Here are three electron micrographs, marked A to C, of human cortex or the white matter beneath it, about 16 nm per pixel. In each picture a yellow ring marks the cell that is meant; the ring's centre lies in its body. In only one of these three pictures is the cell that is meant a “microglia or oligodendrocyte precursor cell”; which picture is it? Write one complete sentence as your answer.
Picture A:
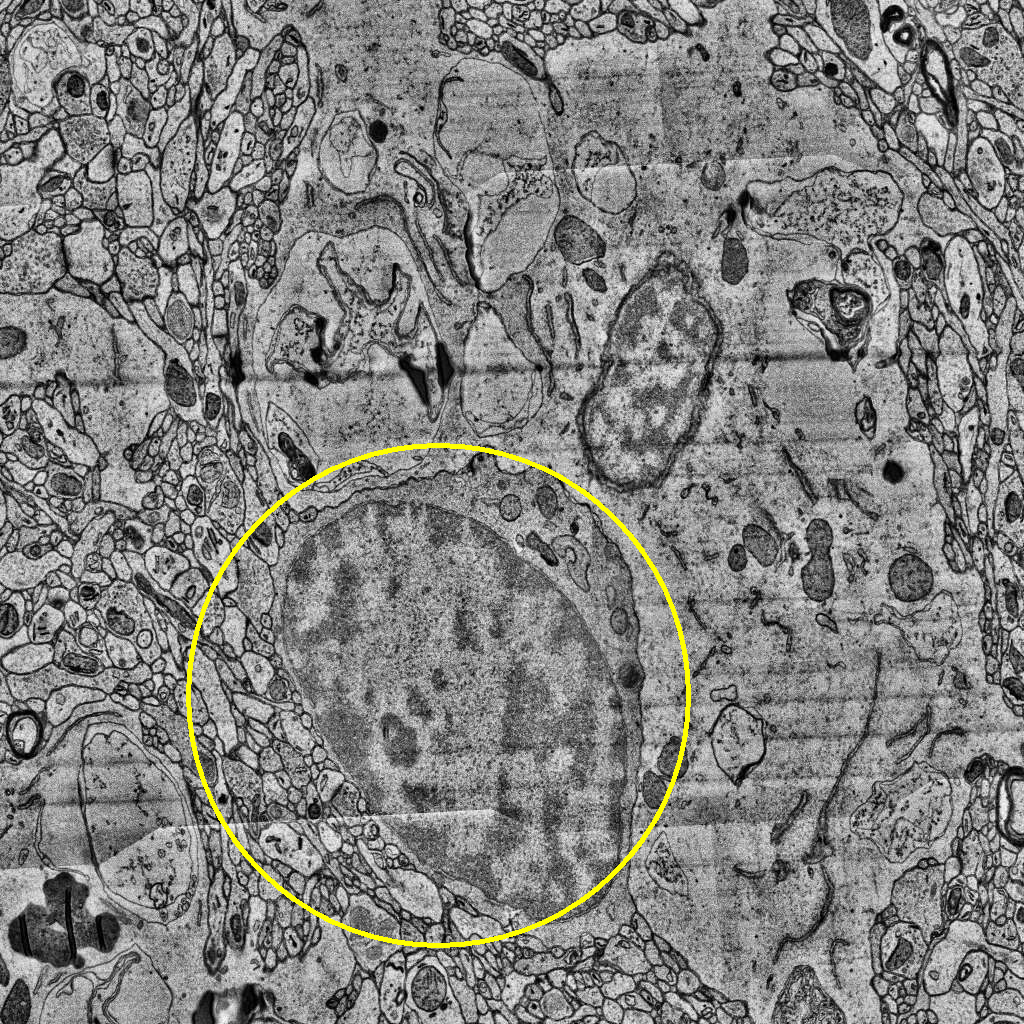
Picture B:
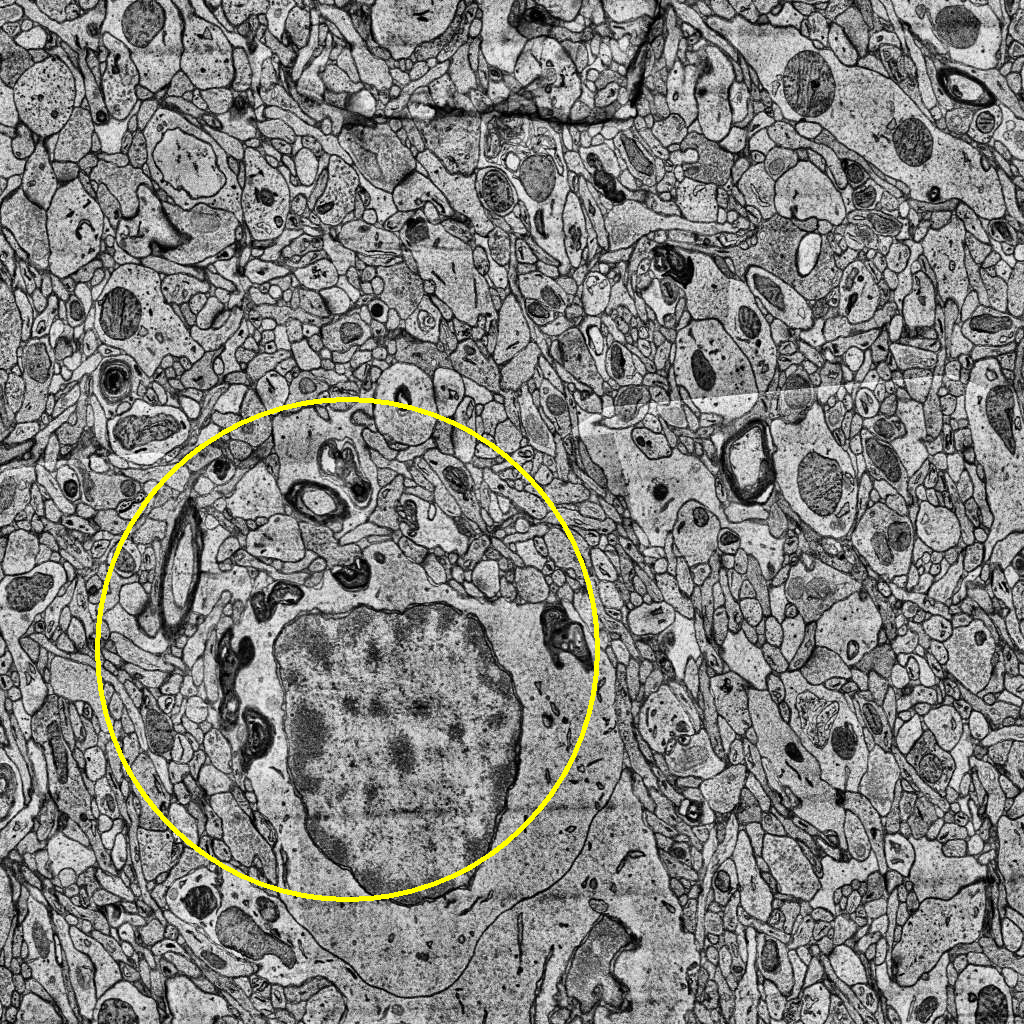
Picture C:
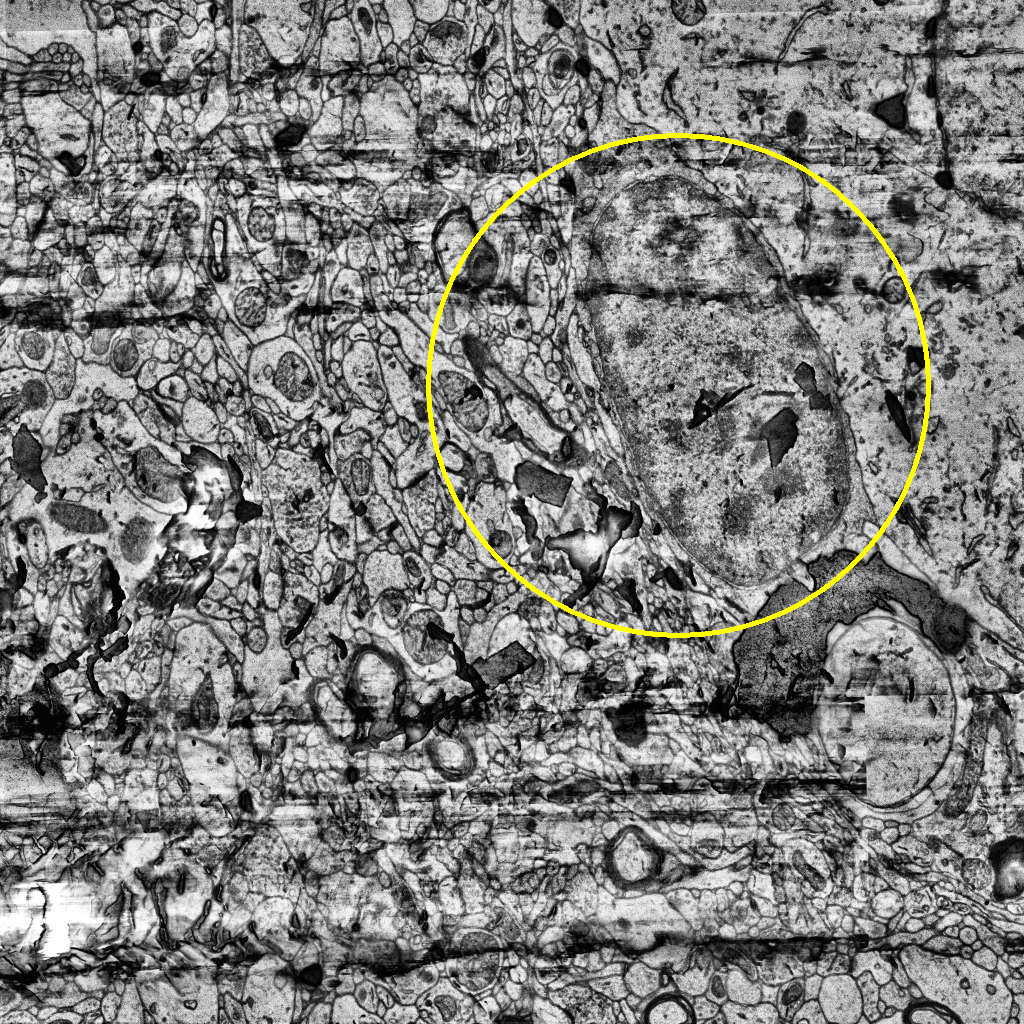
The cell in picture B is the “microglia or oligodendrocyte precursor cell”.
